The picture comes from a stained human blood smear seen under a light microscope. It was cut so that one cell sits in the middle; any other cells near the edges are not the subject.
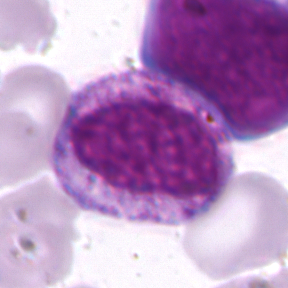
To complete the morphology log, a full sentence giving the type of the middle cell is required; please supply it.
This crop has a myelocyte at its centre.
